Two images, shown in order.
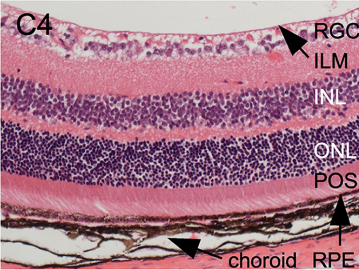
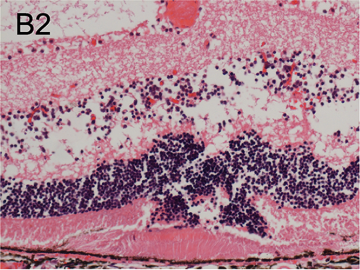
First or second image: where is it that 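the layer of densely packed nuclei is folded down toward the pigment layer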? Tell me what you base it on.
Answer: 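First image: the dense nuclear band runs as an even, continuous layer.
Answer: the second image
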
